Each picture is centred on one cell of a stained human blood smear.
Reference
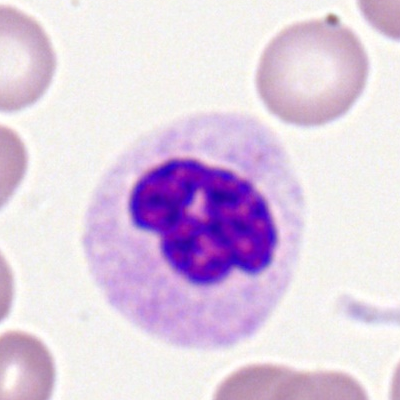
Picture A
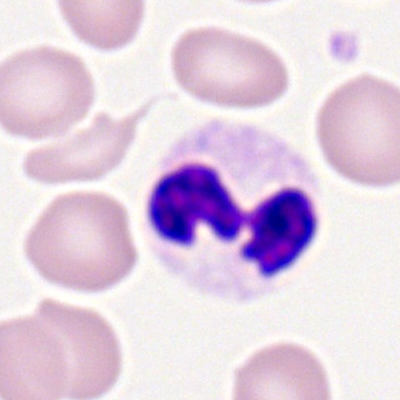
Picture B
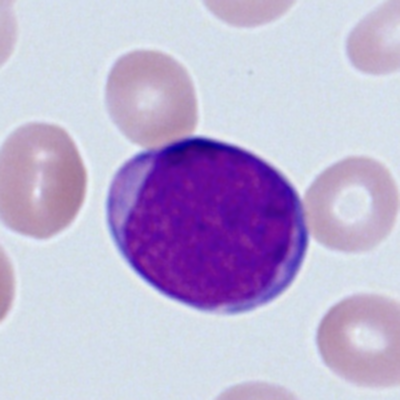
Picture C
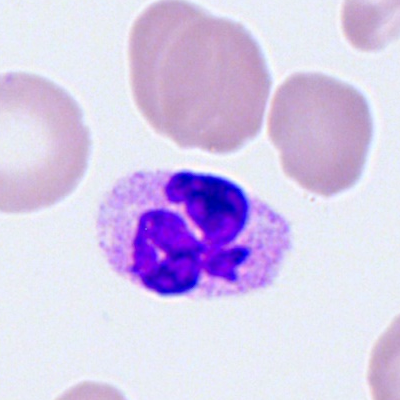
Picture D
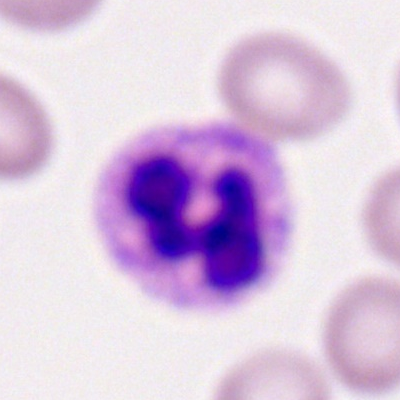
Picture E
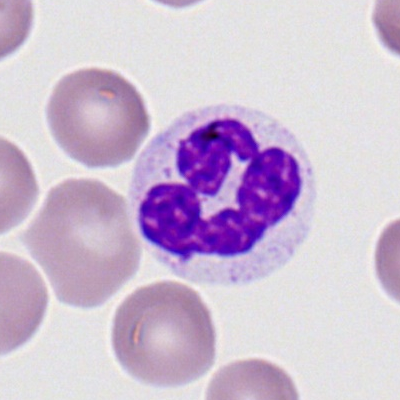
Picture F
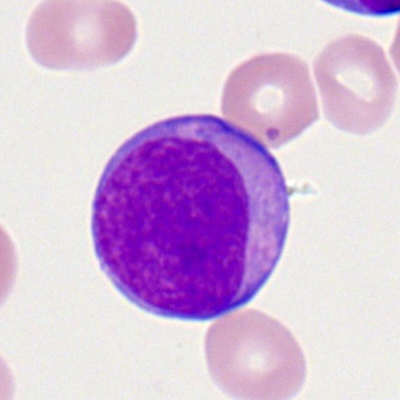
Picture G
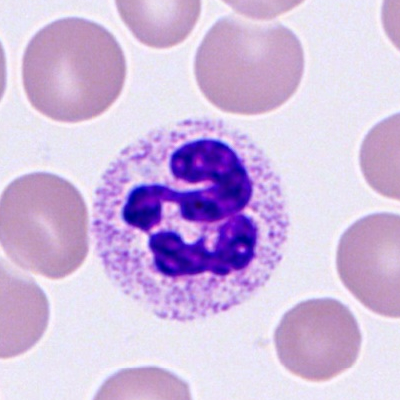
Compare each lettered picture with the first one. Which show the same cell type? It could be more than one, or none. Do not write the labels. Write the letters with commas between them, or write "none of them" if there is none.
A, C, D, E, G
